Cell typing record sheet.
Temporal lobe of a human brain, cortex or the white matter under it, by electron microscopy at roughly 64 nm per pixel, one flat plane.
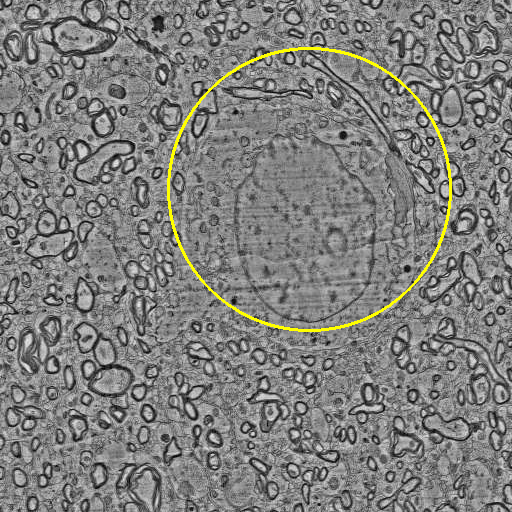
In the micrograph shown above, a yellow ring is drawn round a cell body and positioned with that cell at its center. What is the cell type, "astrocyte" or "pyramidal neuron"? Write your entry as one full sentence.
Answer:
The cell body at the center of the ring belongs to a pyramidal neuron.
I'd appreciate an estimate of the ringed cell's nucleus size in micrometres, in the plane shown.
In this plane the nucleus measures roughly 12 by 9 micrometres.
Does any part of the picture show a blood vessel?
No, no vessel appears in the picture.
